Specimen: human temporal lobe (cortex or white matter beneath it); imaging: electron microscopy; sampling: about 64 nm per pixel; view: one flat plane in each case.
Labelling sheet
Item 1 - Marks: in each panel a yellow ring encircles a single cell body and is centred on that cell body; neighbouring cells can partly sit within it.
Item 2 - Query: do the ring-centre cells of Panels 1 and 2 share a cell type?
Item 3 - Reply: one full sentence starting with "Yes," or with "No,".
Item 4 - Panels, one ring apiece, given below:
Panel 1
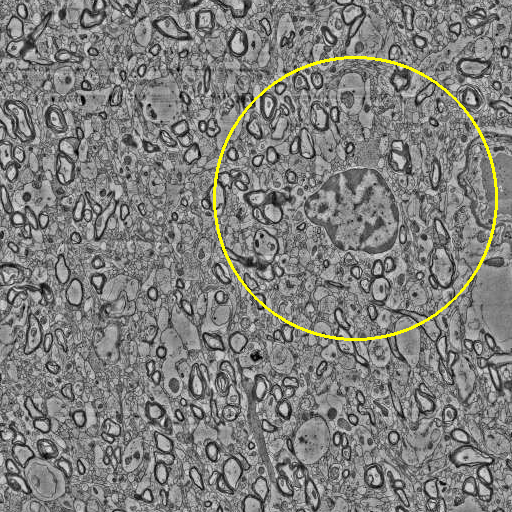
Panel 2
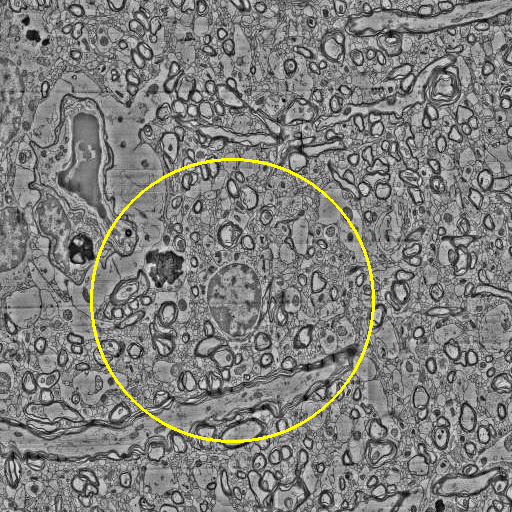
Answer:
Yes, Panel 1 and Panel 2 show one cell type at the centres of their rings.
